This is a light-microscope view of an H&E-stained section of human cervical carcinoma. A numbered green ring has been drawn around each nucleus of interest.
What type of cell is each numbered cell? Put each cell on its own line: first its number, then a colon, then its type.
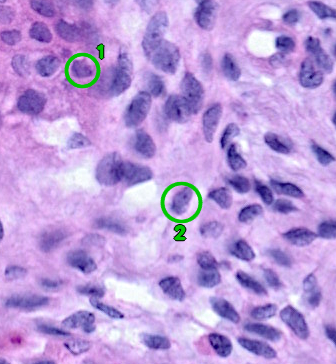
1: secretory epithelial cell
2: fibroblast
